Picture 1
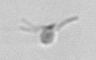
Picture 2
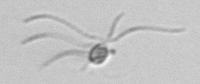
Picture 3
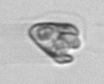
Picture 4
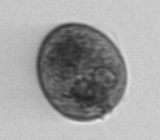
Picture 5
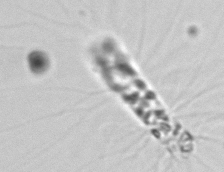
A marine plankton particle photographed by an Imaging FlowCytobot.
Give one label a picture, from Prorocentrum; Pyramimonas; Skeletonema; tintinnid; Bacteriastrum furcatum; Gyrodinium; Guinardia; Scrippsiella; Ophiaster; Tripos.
(1) Ophiaster
(2) Ophiaster
(3) Pyramimonas
(4) Prorocentrum
(5) Bacteriastrum furcatum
